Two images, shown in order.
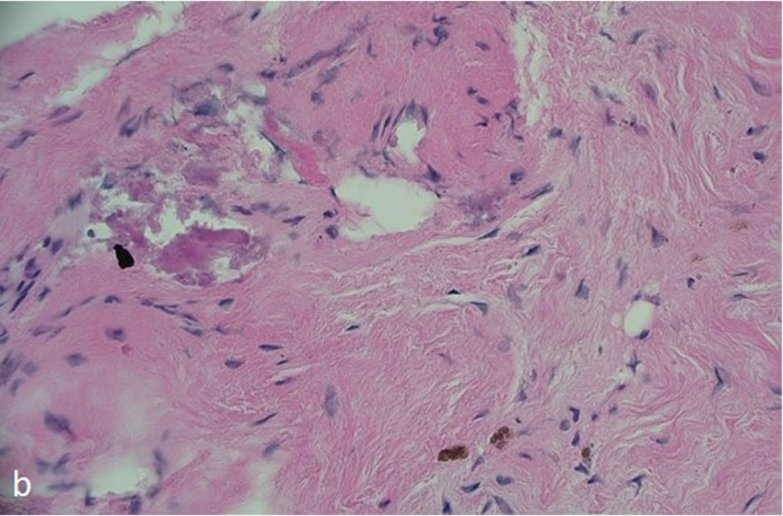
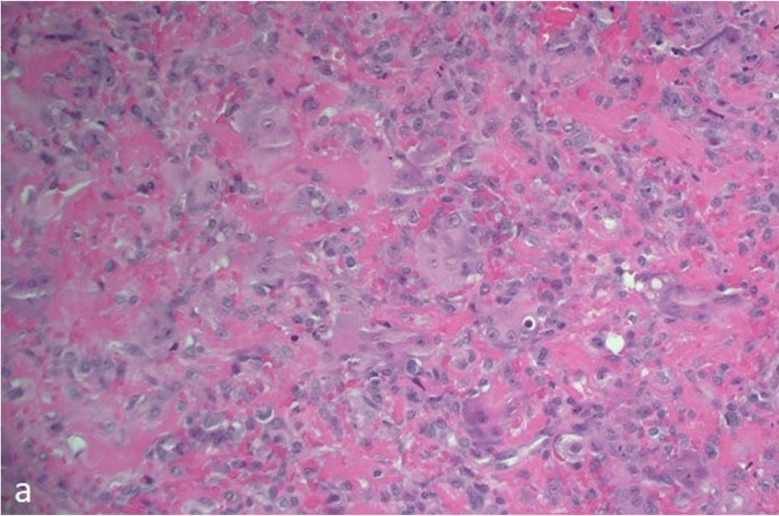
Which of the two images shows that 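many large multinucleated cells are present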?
The second image.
